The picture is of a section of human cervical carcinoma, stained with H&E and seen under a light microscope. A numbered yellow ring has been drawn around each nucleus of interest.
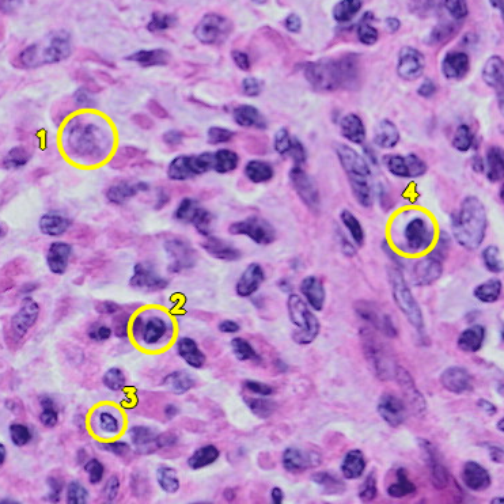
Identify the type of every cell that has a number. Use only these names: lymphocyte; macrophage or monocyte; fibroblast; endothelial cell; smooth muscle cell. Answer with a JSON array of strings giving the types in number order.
["fibroblast", "lymphocyte", "lymphocyte", "lymphocyte"]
